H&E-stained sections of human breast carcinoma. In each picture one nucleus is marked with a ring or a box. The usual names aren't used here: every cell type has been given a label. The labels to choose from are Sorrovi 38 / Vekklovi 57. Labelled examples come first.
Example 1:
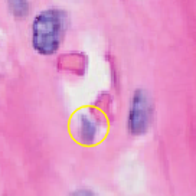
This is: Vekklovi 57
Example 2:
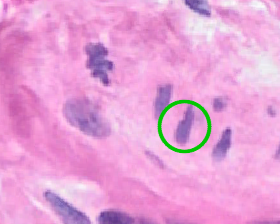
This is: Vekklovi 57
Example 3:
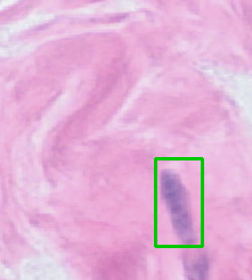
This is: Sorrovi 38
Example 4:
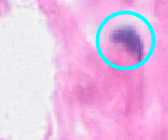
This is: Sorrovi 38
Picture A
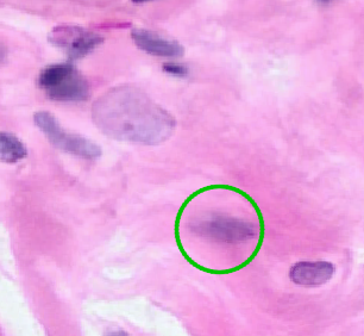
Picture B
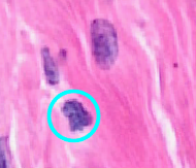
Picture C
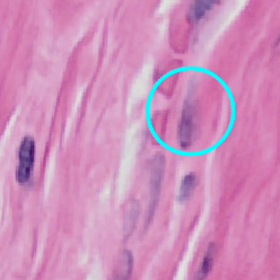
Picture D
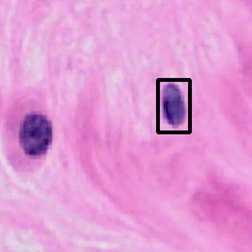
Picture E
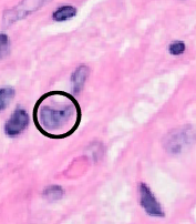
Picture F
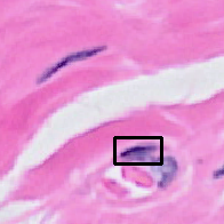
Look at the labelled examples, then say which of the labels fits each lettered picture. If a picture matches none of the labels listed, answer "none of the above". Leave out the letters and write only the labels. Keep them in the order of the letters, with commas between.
Sorrovi 38, none of the above, Vekklovi 57, none of the above, Vekklovi 57, Vekklovi 57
